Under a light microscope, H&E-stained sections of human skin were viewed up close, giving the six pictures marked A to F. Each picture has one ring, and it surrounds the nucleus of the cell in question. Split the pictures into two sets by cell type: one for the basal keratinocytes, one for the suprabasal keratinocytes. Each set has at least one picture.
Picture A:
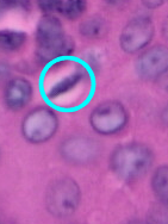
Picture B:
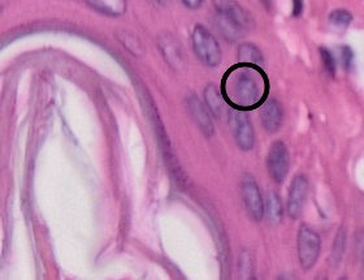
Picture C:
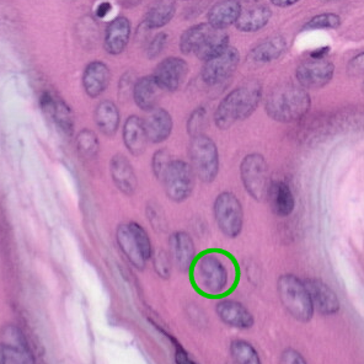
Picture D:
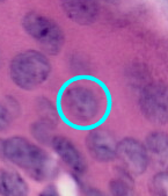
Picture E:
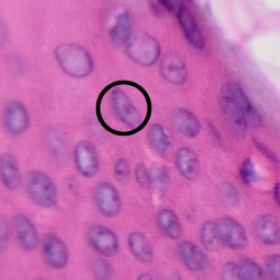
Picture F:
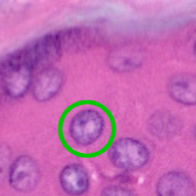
A: basal keratinocyte
B: basal keratinocyte
C: suprabasal keratinocyte
D: suprabasal keratinocyte
E: suprabasal keratinocyte
F: suprabasal keratinocyte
